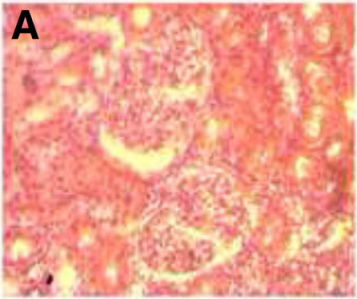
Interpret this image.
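This section of kidney cortex shows two glomeruli surrounded by cross-sectioned tubules, all stained pink with purple nuclei. Each glomerulus is a rounded, compact tuft of closely packed cells with many small dark nuclei. A pale, narrow space separates each tuft from its surrounding capsule. The tubules around them are lined by pink cells and some show pale open lumens. The glomeruli keep a full, rounded outline that fills most of their capsules.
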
